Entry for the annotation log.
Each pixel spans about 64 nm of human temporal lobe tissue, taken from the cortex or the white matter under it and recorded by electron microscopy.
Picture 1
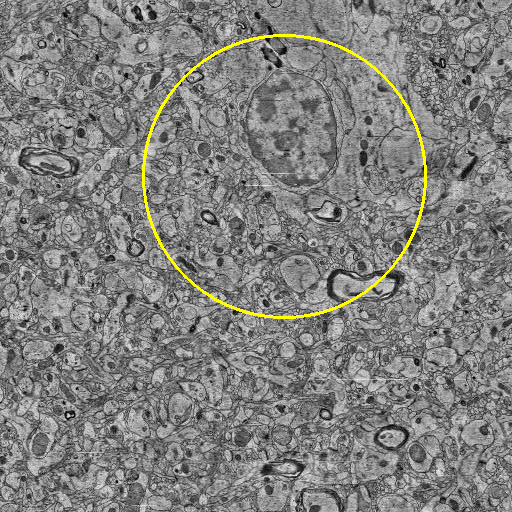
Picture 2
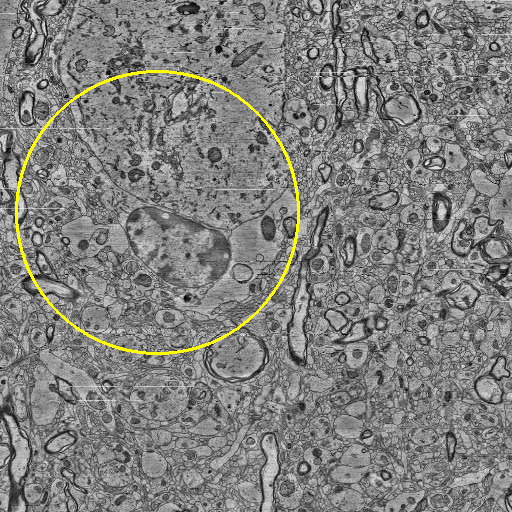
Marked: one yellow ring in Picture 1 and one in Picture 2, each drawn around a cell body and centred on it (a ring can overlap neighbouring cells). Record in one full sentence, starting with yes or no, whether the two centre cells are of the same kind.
Yes, both cells are of the same kind.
